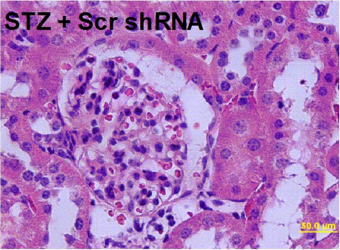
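Renal cortex with a glomerulus near the centre, surrounded by cross-sectioned tubules. The glomerular tuft contains many dark purple nuclei and capillary loops, some holding red blood cells, within a thin capsule and a clear space. The adjacent tubules have pink cytoplasm, round purple nuclei and open, pale lumens.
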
